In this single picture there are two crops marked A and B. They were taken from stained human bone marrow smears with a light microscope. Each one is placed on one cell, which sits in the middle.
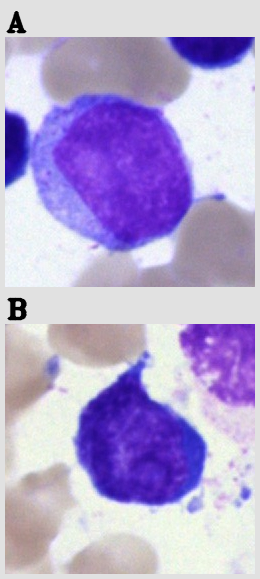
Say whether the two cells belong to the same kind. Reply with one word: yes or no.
yes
